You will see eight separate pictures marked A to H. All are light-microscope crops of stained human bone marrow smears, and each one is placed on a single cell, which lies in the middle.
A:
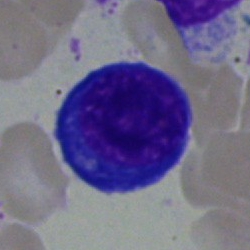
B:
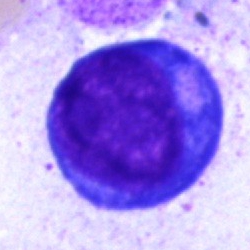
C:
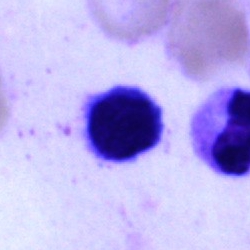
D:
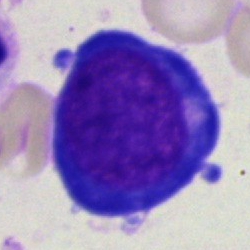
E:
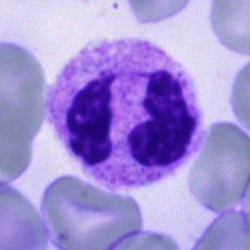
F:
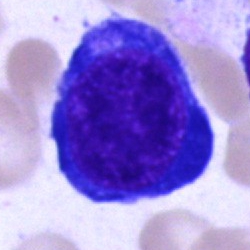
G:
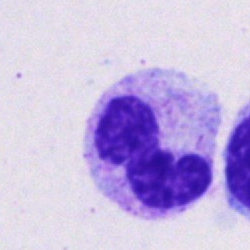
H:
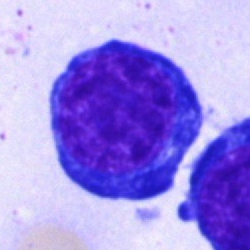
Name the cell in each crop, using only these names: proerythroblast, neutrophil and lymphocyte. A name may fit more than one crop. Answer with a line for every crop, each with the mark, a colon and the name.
A: proerythroblast
B: proerythroblast
C: lymphocyte
D: proerythroblast
E: neutrophil
F: proerythroblast
G: neutrophil
H: proerythroblast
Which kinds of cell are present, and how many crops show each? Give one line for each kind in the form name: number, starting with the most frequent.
proerythroblast: 5
neutrophil: 2
lymphocyte: 1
